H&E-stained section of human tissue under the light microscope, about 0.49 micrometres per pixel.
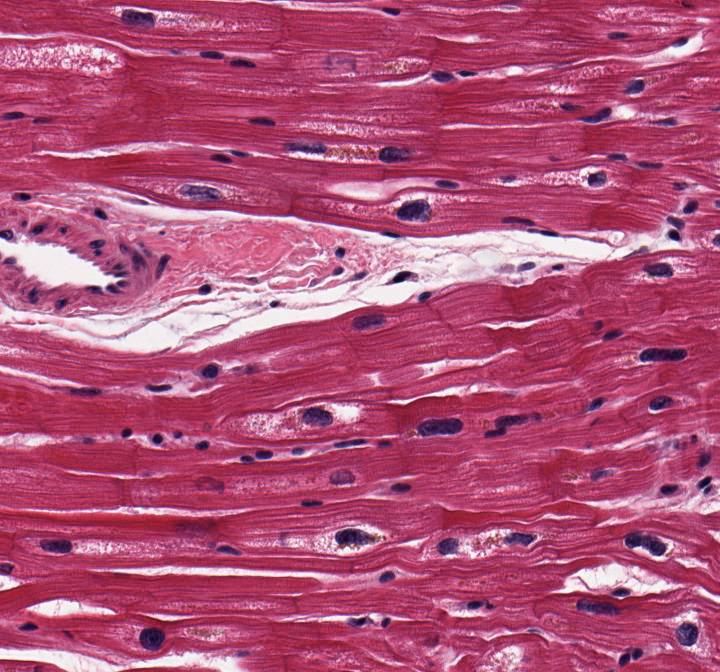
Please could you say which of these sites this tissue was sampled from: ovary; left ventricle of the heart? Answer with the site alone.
left ventricle of the heart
